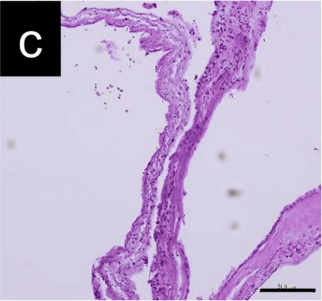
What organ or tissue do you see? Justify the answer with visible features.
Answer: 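Connective tissue. Thin, wavy pink bands of fibrous tissue. Small dark nuclei scattered along the bands. The bands are separated by wide empty pale spaces.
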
